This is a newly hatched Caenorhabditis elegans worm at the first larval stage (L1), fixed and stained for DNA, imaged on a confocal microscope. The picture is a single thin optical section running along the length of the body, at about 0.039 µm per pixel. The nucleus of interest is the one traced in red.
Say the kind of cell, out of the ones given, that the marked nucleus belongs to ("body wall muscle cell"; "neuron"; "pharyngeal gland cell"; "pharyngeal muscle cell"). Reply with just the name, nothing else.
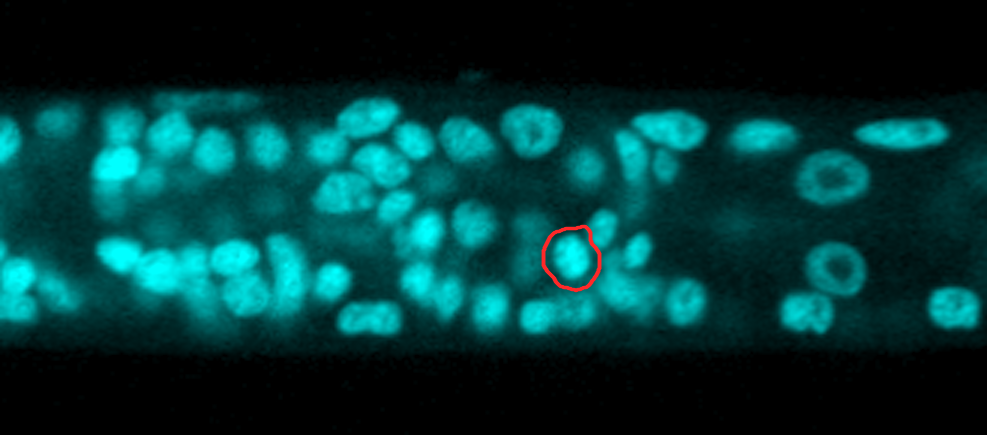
pharyngeal gland cell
